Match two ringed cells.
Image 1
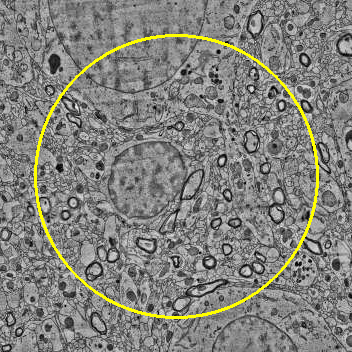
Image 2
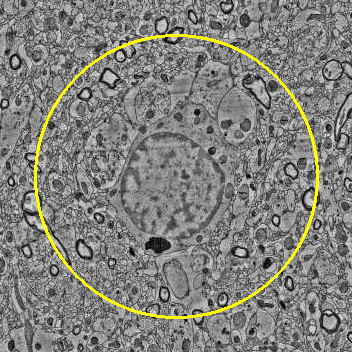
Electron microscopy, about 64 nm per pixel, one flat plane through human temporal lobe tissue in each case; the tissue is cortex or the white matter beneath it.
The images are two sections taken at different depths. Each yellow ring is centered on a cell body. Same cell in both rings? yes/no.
no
